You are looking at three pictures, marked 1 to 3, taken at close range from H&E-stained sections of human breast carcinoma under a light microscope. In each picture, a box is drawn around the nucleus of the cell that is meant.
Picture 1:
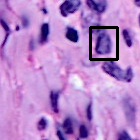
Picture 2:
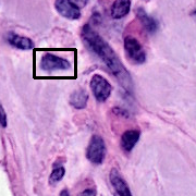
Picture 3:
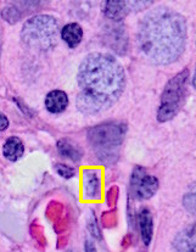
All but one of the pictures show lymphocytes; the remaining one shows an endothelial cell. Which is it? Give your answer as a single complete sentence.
The cell in picture 3 is the endothelial cell.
